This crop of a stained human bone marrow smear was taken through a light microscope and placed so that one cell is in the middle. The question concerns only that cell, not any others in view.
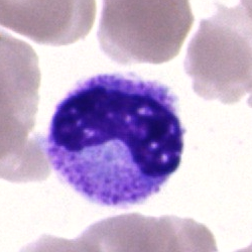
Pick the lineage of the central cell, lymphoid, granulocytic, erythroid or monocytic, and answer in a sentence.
On lineage, the cell in the middle of the crop is granulocytic.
